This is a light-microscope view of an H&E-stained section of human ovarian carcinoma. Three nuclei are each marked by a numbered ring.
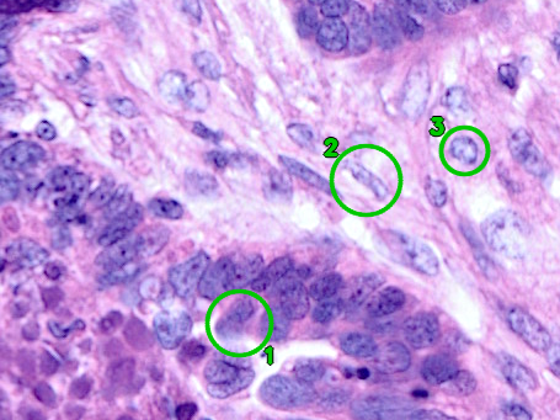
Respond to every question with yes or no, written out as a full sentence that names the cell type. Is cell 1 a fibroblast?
No, number 1 does not mark a fibroblast; it marks a carcinoma cell.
